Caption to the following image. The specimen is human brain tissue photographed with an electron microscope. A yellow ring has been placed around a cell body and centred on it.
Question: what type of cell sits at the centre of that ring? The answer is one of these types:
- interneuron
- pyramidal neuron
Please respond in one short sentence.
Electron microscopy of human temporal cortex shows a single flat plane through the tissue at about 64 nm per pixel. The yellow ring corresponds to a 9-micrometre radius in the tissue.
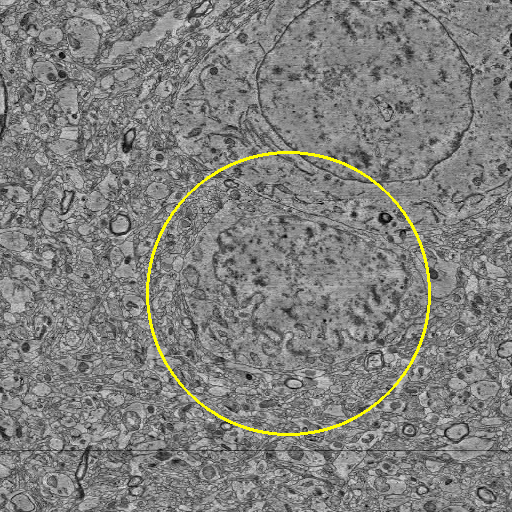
The ring surrounds the cell body of an interneuron.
